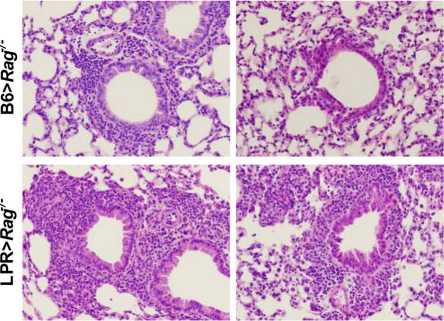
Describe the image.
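These lung sections show small airways lined by a columnar epithelium with purple nuclei, each running beside a small blood vessel and surrounded by thin-walled alveoli. In several images the tissue around the airways and vessels is crowded with densely packed small round cells with dark nuclei, forming thick cuffs of inflammatory infiltrate.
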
